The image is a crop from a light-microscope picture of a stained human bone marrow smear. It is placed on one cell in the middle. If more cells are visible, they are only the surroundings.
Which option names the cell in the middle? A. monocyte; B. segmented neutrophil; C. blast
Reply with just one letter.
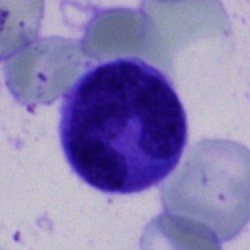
A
